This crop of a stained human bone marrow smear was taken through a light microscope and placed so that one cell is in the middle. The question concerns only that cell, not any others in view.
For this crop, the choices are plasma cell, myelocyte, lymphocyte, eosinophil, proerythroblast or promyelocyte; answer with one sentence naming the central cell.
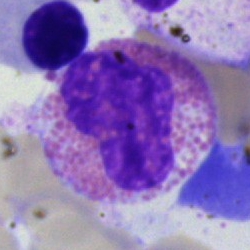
This crop has an eosinophil at its centre.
